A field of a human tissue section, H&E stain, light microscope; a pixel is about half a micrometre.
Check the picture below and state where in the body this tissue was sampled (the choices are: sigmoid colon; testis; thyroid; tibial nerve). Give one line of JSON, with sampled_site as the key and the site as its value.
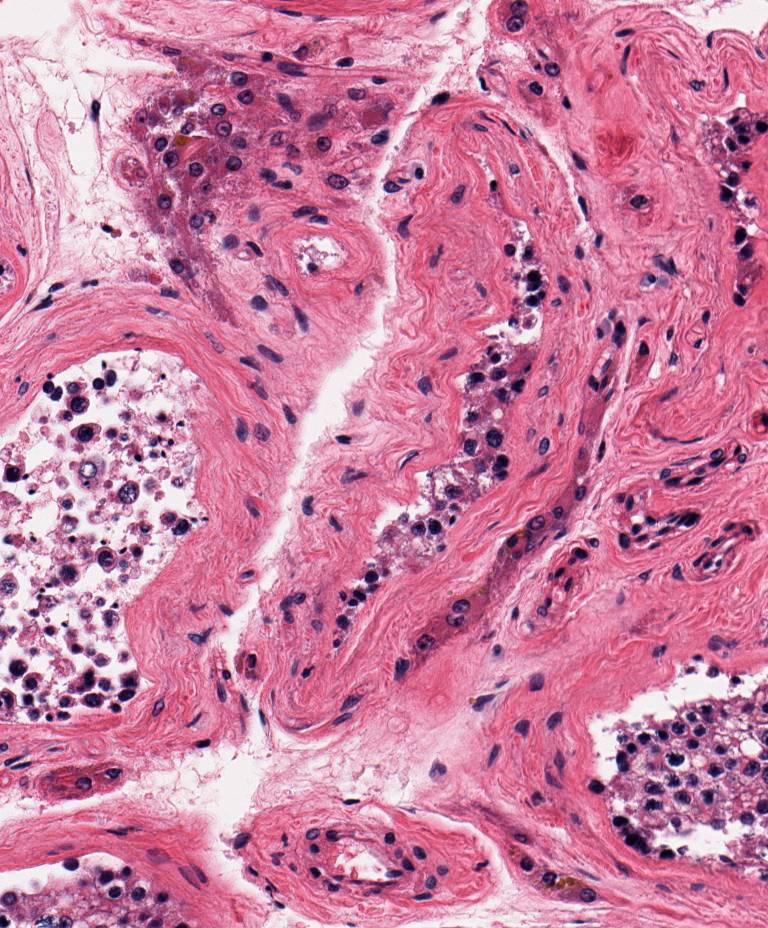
{"sampled_site": "testis"}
